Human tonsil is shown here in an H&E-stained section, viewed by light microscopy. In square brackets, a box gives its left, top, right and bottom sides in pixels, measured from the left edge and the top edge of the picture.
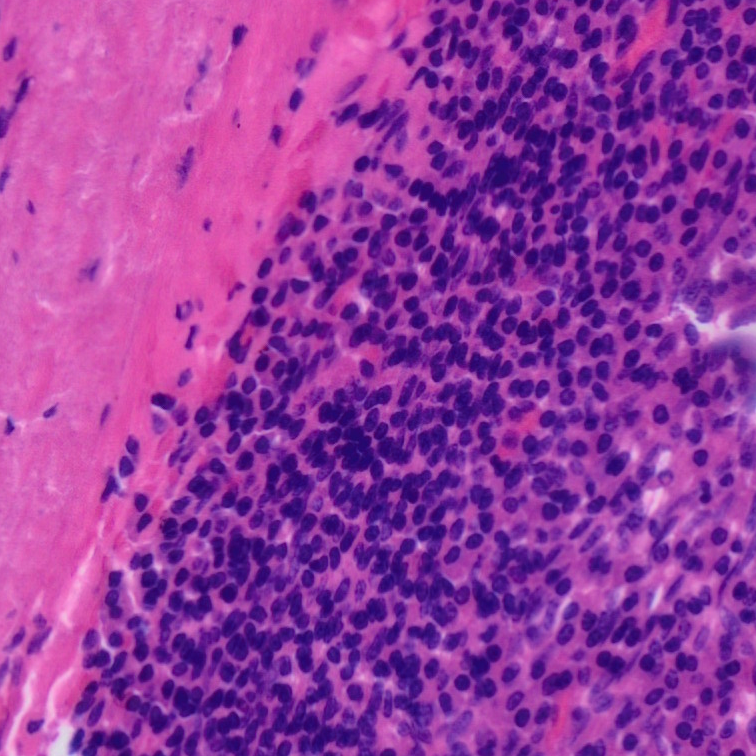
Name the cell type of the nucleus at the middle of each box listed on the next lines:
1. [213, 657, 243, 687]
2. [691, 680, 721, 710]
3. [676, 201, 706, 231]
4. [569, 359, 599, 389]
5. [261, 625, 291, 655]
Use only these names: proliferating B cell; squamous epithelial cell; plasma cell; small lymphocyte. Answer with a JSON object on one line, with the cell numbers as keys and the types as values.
{"1": "small lymphocyte", "2": "plasma cell", "3": "plasma cell", "4": "plasma cell", "5": "small lymphocyte"}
